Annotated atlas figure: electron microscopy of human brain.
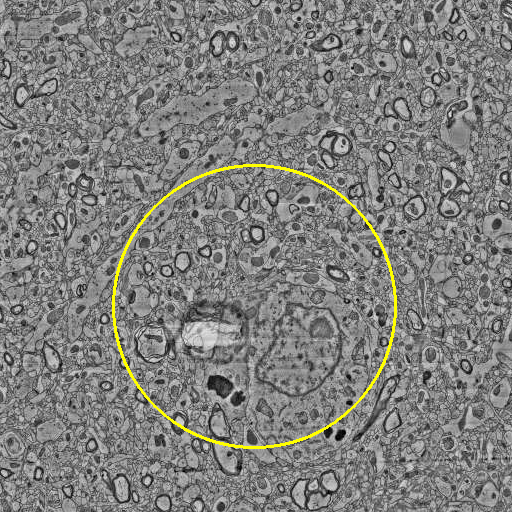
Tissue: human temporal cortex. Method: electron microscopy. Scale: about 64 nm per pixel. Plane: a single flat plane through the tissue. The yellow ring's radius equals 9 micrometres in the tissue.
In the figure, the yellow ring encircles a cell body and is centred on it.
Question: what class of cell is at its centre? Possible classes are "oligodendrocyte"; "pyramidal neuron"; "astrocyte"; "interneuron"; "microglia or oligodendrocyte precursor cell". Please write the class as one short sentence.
The yellow ring is drawn around an oligodendrocyte.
